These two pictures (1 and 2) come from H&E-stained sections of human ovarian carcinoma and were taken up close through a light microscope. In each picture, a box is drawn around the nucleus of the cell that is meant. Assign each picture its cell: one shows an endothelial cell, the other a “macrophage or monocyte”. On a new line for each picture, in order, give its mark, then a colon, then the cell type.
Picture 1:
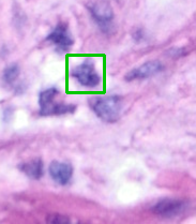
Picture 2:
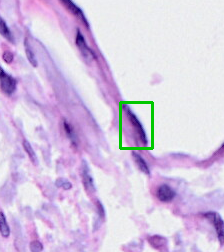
1: macrophage or monocyte
2: endothelial cell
